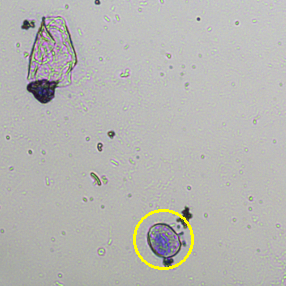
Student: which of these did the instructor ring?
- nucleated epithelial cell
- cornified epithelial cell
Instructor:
The cell I ringed is a nucleated epithelial cell.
